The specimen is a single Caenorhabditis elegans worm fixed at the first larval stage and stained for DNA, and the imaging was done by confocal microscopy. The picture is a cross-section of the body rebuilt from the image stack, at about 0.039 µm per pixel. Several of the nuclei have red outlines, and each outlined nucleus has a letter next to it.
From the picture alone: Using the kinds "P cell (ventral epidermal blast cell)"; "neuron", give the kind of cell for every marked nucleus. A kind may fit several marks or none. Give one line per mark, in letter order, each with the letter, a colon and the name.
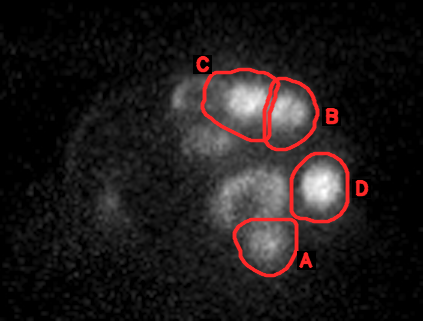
A: P cell (ventral epidermal blast cell)
B: P cell (ventral epidermal blast cell)
C: neuron
D: neuron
